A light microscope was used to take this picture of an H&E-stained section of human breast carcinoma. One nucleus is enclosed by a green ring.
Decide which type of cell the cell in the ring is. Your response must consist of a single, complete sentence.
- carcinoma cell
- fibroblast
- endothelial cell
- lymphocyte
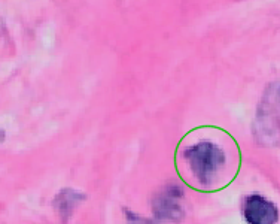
In the tissue under study, the cell in the ring is a lymphocyte.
